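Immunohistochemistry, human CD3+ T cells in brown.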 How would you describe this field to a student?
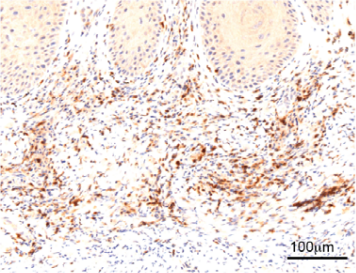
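Along the top edge lie pale, rounded profiles of the lower epidermis, and beneath them the connective tissue is filled with small brown cells. Many are round, others drawn out and spindle-like as they lie between the collagen fibres, gathered in dense patches and streaks rather than evenly spread. Between them sit blue nuclei of unstained cells, many of them slender and elongated, belonging to the resident connective tissue. Such a dense gathering of lymphocytes within the dermis is far from what normal skin shows.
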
